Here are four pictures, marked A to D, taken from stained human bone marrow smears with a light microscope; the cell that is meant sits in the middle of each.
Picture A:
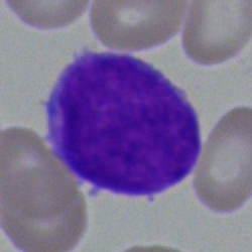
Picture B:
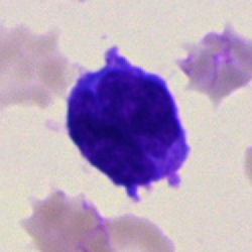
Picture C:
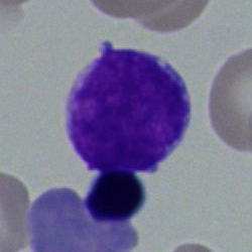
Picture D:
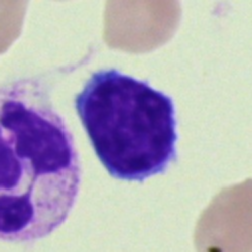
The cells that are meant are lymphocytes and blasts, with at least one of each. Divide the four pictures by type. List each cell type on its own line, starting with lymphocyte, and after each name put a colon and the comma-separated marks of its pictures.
lymphocyte: D
blast: A, B, C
